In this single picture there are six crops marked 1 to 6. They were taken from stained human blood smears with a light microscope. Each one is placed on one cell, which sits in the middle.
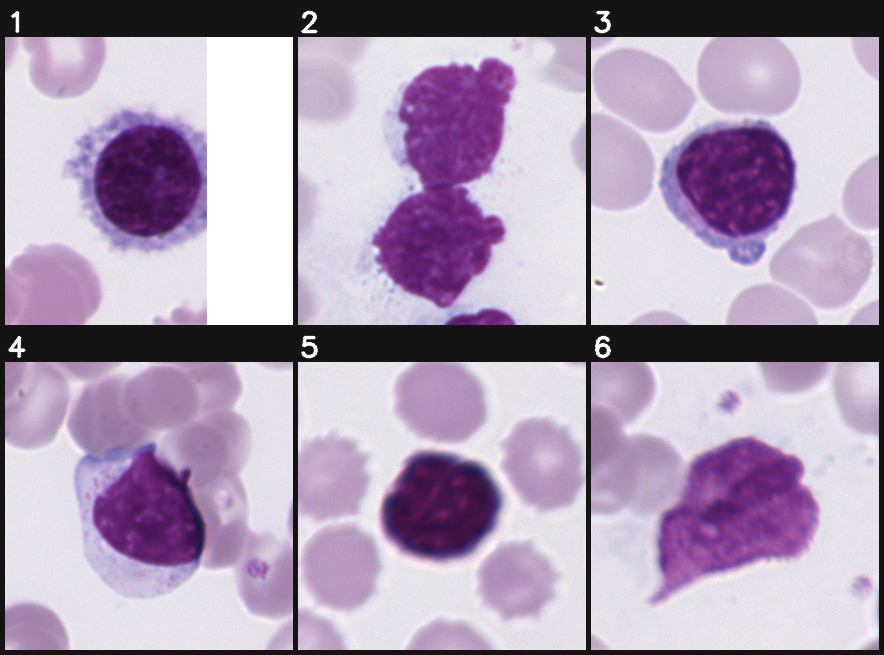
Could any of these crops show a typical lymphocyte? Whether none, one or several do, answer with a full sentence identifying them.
Crops 3 and 5 show typical lymphocytes, going by the cell in the middle of each.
